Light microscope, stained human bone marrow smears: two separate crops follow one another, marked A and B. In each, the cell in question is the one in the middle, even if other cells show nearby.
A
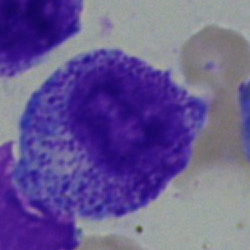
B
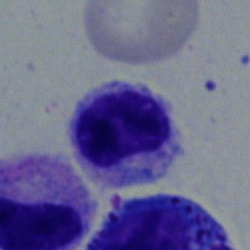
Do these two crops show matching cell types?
no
